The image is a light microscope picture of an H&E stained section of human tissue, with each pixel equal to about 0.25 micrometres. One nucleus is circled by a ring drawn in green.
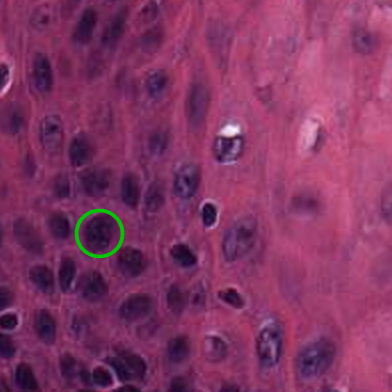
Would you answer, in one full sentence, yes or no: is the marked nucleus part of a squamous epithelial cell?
Yes, it is the nucleus of a squamous epithelial cell that has been marked.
